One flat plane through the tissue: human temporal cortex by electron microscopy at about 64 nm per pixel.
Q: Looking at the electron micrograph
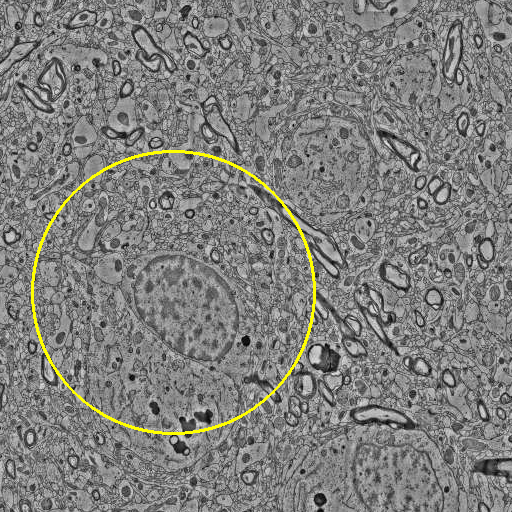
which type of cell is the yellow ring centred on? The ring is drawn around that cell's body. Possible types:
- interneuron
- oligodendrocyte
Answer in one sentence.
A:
The yellow ring is centred on an oligodendrocyte.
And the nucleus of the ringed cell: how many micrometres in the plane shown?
The nucleus has a long axis of about 8 micrometres and a short axis of about 6 micrometres in this plane.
